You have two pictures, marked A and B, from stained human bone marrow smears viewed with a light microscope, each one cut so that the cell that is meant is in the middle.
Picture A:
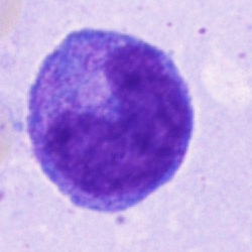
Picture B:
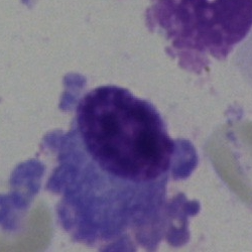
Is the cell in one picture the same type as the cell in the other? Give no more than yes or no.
no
